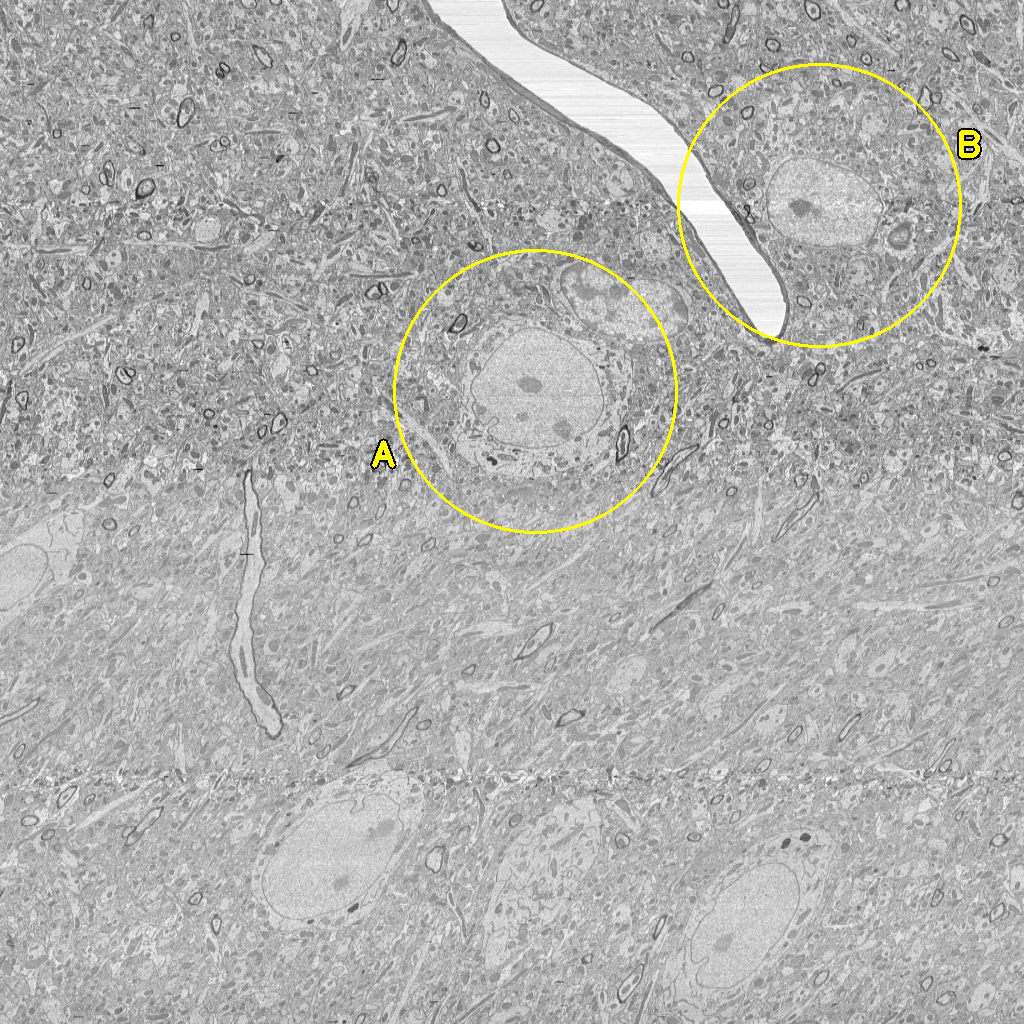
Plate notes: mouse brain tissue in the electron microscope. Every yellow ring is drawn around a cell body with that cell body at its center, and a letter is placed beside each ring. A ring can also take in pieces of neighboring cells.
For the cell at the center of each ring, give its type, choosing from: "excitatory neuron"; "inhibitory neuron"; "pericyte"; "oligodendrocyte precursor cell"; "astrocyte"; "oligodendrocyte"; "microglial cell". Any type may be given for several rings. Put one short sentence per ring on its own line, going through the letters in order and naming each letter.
Ring A shows an excitatory neuron at the center.
Ring B shows an astrocyte at the center.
